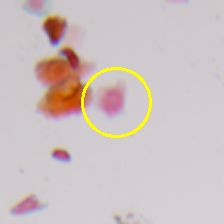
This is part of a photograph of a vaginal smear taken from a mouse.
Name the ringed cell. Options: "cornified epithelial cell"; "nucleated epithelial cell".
nucleated epithelial cell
